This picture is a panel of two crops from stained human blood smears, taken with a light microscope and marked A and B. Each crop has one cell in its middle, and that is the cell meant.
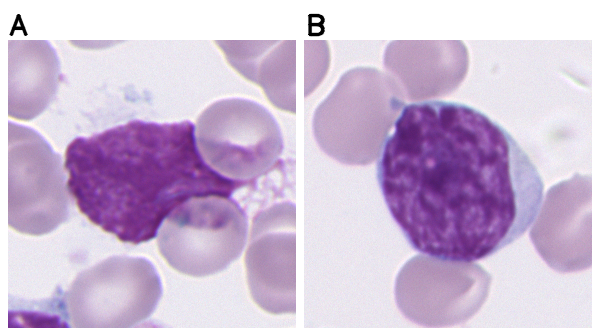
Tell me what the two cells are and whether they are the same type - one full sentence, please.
No, in this case crop A shows a smudge cell, and crop B shows a myeloblast.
